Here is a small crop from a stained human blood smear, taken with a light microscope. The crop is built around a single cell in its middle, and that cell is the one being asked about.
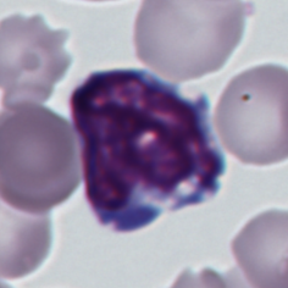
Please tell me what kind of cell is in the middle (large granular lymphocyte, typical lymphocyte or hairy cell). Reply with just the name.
typical lymphocyte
